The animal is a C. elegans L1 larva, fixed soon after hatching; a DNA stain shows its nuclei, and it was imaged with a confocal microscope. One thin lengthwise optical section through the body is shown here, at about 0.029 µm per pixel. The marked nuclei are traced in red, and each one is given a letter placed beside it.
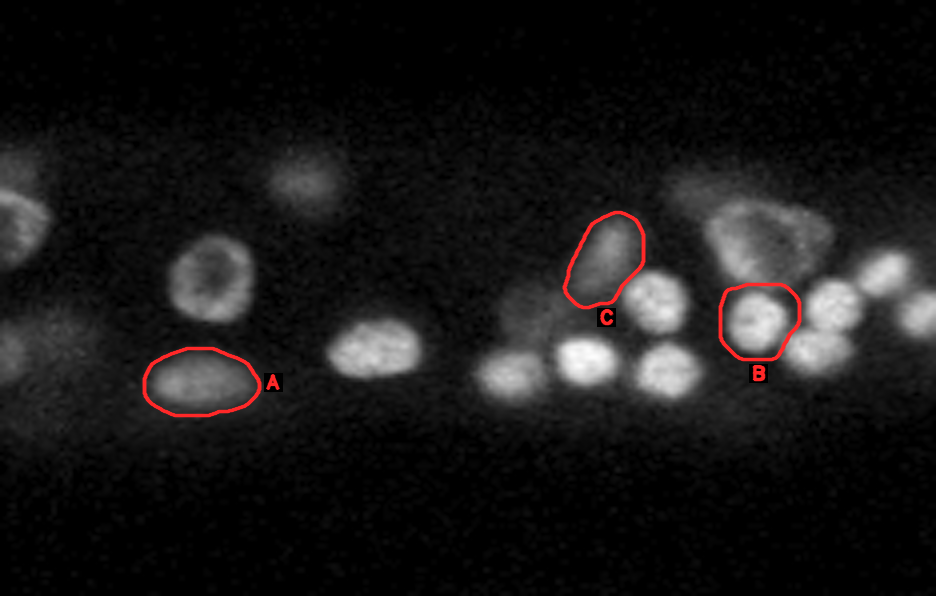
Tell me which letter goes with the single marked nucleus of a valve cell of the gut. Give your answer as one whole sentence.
C is the one that belongs to a valve cell of the gut.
